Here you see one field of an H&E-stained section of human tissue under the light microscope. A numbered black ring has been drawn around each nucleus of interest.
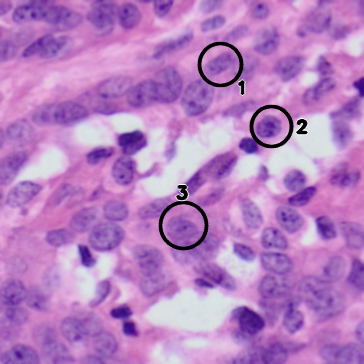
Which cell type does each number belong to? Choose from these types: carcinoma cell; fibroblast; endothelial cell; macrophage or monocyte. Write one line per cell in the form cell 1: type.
cell 1: carcinoma cell
cell 2: macrophage or monocyte
cell 3: carcinoma cell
